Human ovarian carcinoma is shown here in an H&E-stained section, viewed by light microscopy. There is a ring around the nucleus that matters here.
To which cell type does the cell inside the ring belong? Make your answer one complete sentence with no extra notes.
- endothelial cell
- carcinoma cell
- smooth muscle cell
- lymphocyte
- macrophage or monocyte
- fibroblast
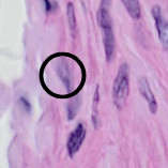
Within this tissue, the cell inside the ring is a smooth muscle cell.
